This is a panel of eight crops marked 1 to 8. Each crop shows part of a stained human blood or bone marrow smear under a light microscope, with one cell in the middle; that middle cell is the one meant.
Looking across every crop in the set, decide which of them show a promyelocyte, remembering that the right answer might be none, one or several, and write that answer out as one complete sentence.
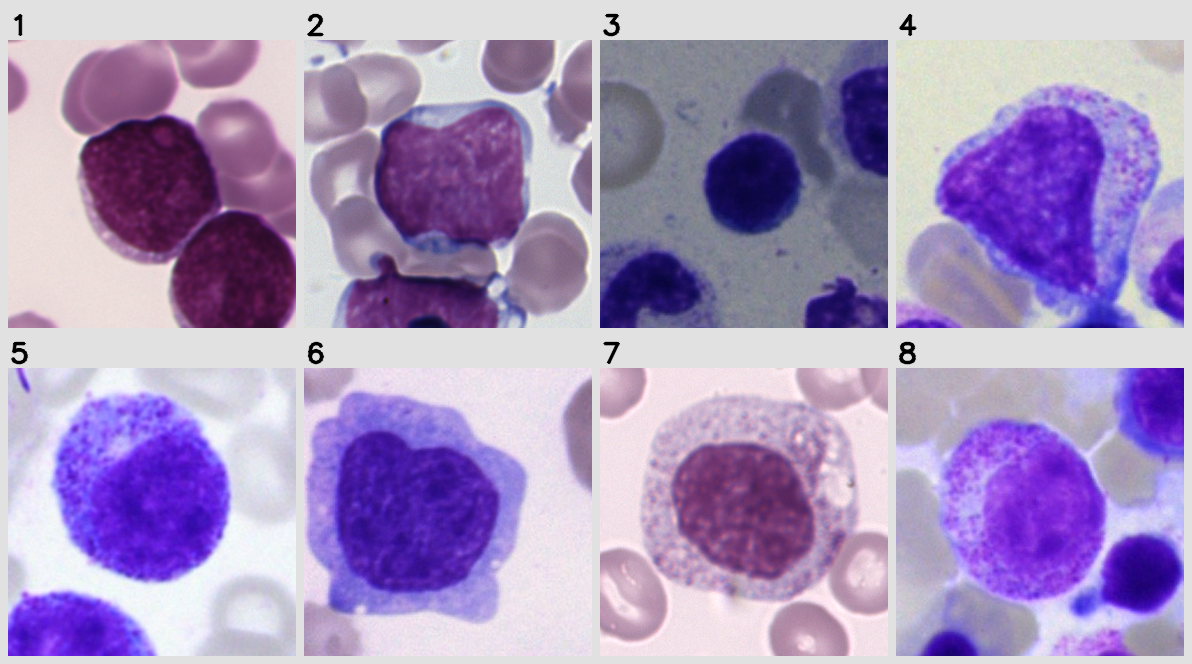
Found in crop 5 and nowhere else in the set is a promyelocyte.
